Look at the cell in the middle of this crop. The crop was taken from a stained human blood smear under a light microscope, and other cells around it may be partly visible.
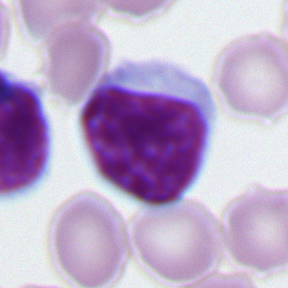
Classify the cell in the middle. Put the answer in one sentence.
The cell positioned in the middle of the field is a typical lymphocyte.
